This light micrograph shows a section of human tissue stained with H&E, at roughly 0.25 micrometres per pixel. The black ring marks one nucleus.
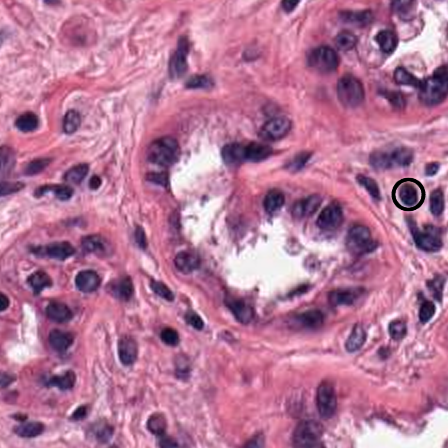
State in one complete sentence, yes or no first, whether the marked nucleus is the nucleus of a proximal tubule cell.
No, for the marked nucleus, the owning cell is a supporting cell, not a proximal tubule cell.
